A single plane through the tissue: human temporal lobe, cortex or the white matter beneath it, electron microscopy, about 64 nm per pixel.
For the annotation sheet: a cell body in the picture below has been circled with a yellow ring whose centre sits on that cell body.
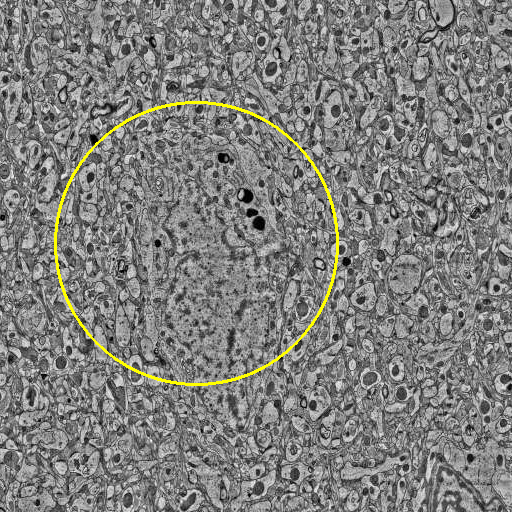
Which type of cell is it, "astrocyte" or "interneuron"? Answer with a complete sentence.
The circled cell is an interneuron.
